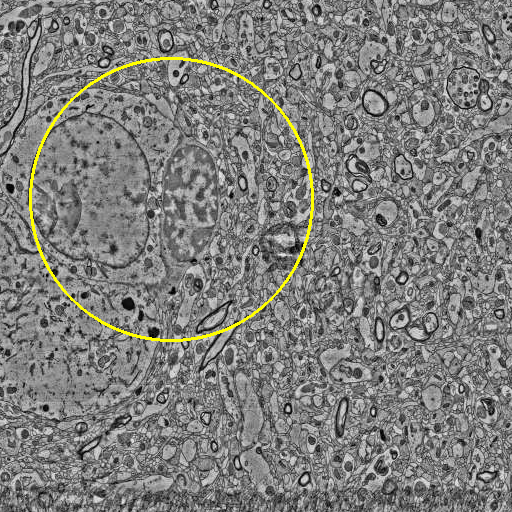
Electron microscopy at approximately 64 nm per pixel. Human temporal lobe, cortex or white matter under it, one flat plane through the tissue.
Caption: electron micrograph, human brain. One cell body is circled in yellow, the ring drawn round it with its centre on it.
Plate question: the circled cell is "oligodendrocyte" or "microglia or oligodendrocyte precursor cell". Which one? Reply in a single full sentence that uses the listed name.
The yellow ring on the plate is centred on an oligodendrocyte, going by the listed names.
